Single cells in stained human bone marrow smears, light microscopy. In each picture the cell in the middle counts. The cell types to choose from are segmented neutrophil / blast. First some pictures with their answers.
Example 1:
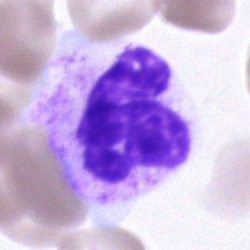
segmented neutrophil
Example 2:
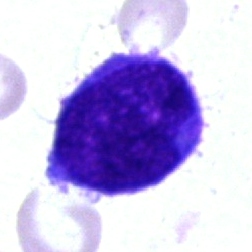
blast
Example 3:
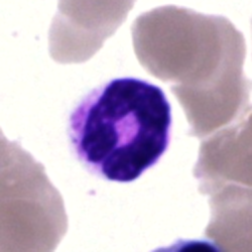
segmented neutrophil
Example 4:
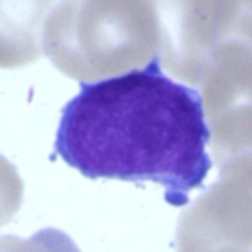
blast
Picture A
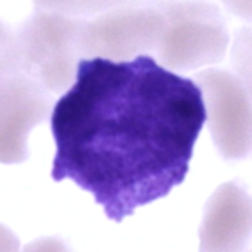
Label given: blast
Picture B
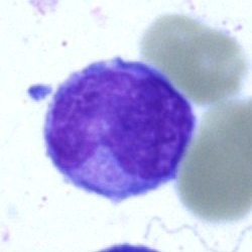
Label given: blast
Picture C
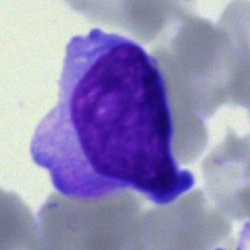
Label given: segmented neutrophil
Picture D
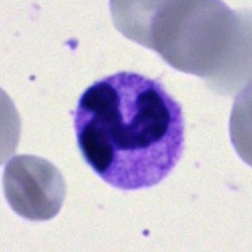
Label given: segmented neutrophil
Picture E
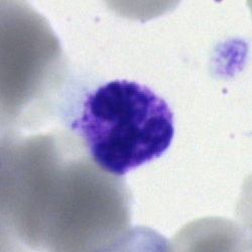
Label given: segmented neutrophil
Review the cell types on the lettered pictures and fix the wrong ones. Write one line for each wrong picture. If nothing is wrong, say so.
Wrong: C (segmented neutrophil); correct: blast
